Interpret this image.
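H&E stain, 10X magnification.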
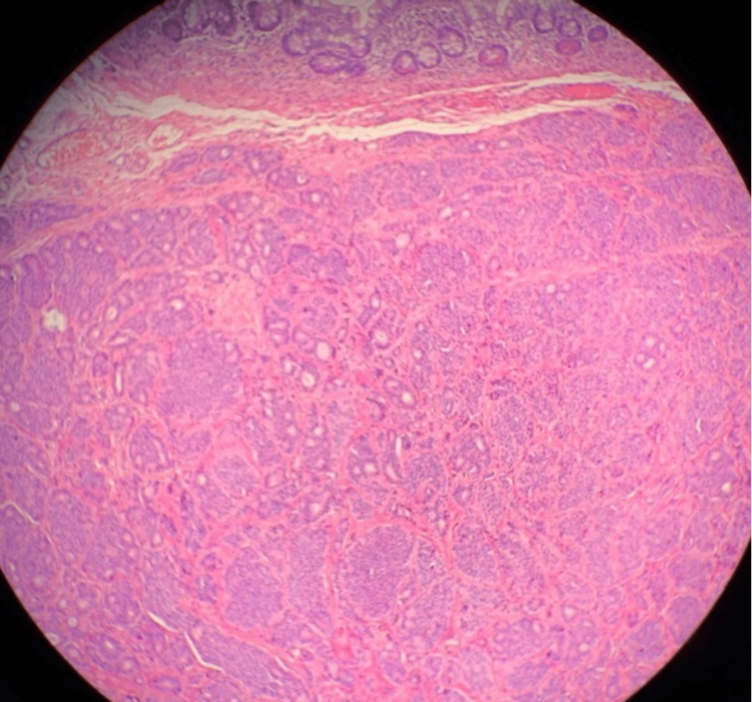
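A well-differentiated neuroendocrine tumor lies beneath the mucosa, whose round glandular crypts run along the top edge. The tumor is made of many rounded nests of uniform small purple cells divided by delicate pink fibrous strands.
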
